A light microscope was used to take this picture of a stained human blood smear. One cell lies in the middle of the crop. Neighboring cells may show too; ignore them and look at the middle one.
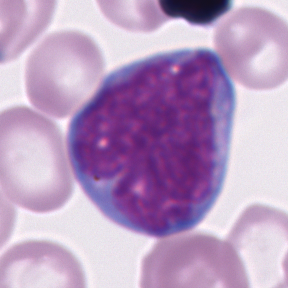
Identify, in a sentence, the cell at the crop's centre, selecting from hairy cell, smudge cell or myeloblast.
In the middle of this smear crop is a myeloblast.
